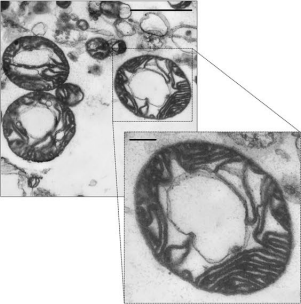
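The remaining dark cristae are crowded against the periphery, especially at the bottom of the organelle. Other mitochondria in the field show similar clear spaces, a vacuolated appearance unlike the densely packed interior of normal mitochondria.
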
